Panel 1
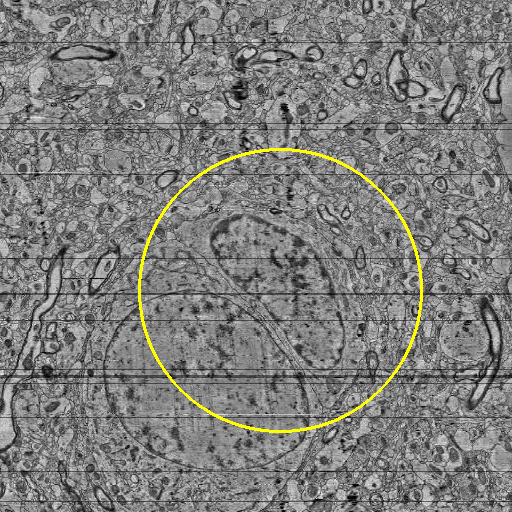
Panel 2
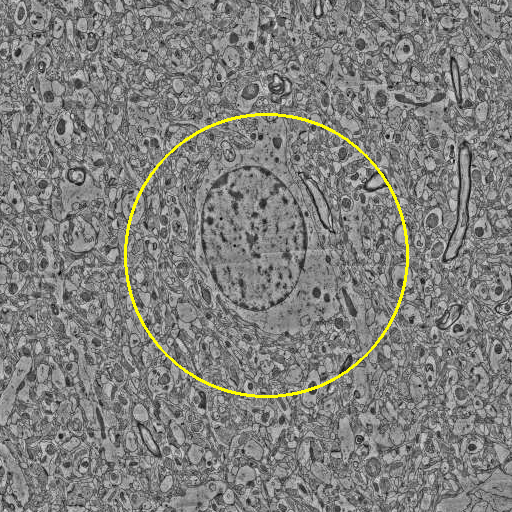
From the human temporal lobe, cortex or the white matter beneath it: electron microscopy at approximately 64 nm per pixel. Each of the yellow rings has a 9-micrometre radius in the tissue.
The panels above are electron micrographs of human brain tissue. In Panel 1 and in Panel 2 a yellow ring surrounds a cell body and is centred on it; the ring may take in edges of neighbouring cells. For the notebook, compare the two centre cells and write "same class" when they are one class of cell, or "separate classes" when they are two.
separate classes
